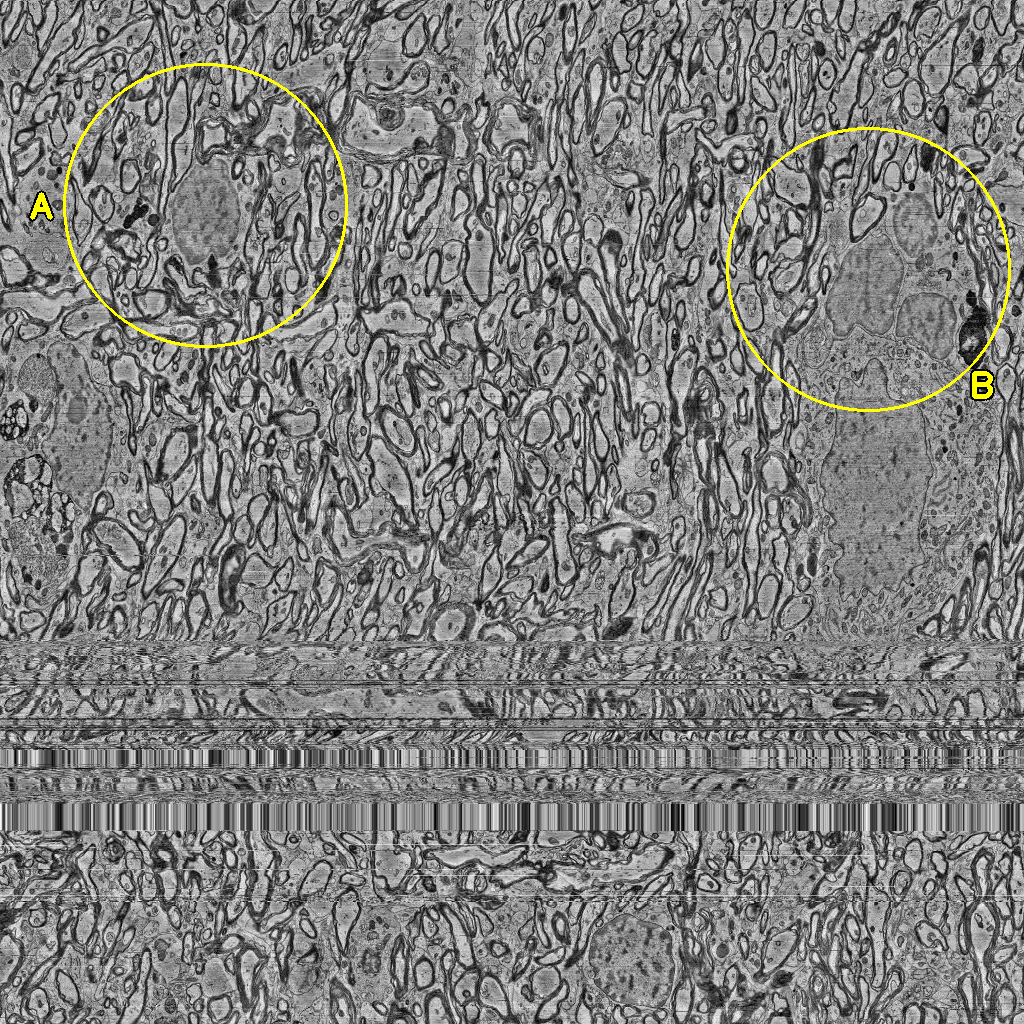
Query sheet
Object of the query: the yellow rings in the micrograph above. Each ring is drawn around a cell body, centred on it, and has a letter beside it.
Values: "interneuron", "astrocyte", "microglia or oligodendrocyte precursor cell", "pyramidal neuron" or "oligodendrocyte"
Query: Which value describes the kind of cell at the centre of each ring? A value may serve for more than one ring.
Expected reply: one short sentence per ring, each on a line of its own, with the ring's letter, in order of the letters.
I assign an oligodendrocyte to ring A.
I assign an oligodendrocyte to ring B.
